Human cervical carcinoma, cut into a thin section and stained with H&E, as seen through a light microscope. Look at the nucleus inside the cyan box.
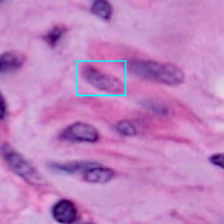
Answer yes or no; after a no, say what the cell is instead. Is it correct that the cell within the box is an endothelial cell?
No, it is a smooth muscle cell.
